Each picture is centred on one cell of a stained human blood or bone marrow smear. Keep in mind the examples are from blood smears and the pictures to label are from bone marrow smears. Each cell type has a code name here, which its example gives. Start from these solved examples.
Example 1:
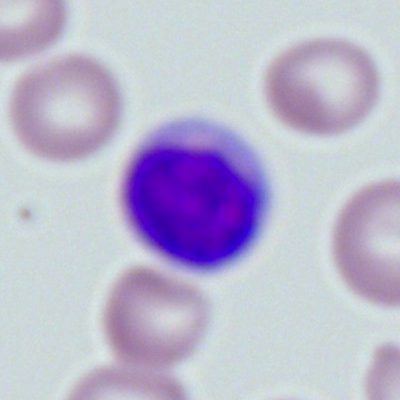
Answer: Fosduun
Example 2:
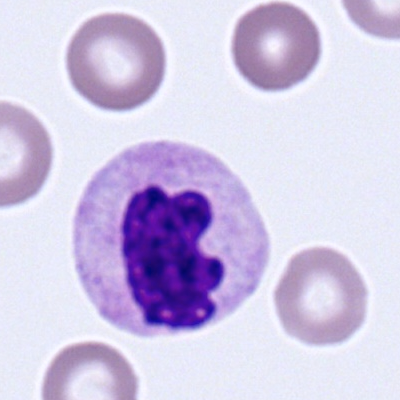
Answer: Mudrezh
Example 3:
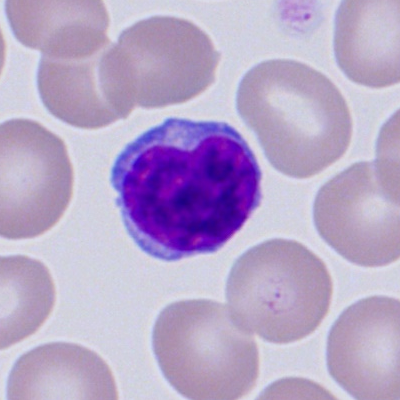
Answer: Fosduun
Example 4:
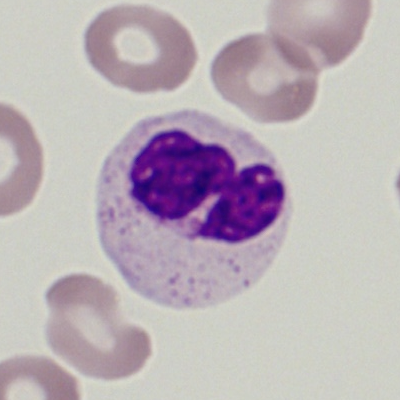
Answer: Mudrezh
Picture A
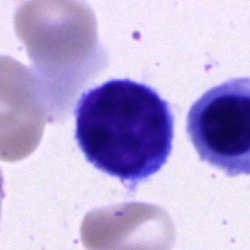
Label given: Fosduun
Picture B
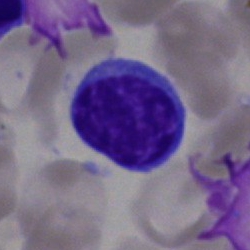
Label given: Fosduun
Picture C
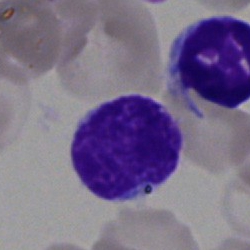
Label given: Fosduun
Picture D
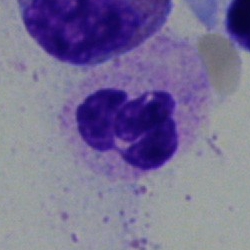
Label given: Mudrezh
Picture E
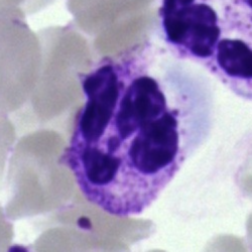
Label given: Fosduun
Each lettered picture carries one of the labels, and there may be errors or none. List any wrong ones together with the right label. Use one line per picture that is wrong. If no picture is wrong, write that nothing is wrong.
Wrong: E (Fosduun); correct: Mudrezh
